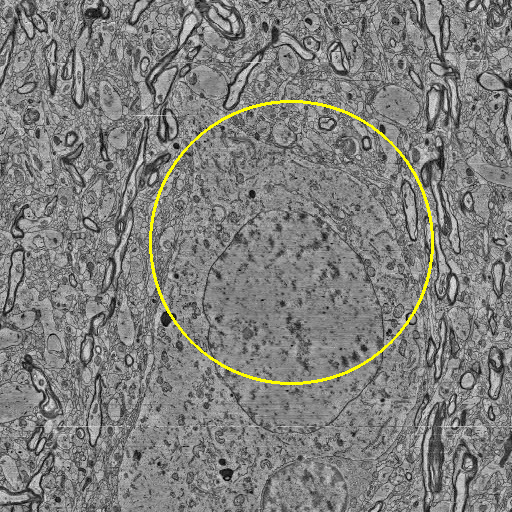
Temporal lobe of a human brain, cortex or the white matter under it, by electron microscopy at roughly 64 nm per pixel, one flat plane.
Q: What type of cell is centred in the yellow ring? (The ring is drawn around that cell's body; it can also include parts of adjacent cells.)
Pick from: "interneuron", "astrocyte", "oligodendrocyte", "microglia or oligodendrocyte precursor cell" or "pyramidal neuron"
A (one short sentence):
The yellow ring is centred on a pyramidal neuron.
